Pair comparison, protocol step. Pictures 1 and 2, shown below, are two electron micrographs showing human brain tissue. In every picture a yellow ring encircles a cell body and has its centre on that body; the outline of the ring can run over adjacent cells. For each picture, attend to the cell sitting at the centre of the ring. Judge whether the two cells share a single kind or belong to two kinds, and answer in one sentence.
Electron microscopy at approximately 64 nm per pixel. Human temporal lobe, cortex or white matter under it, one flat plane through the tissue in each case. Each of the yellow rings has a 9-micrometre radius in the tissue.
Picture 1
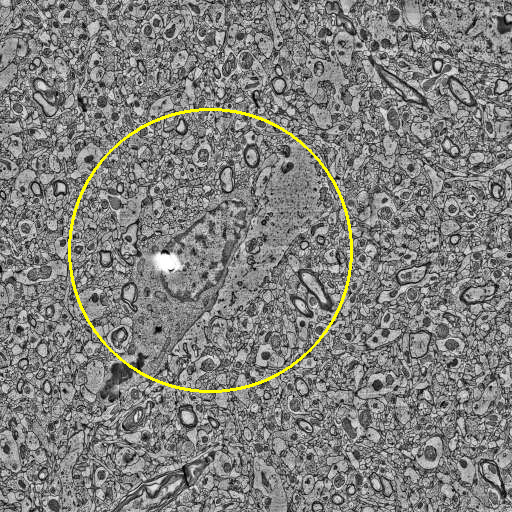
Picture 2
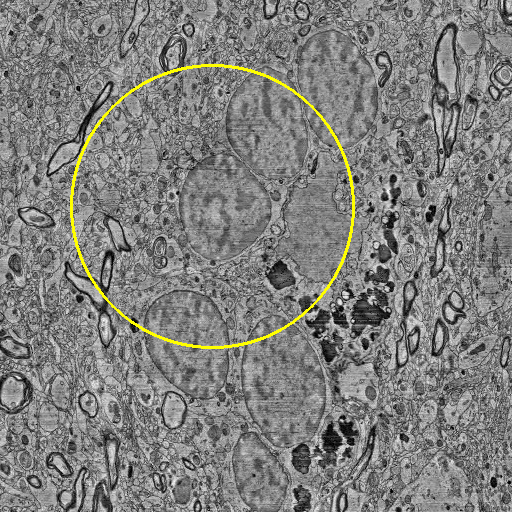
The two cells at the ring centres in Picture 1 and Picture 2 share a single kind.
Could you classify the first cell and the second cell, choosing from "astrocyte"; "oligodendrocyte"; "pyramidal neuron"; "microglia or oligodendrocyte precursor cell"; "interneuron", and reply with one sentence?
Both the first and the second picture show an oligodendrocyte in the ring.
